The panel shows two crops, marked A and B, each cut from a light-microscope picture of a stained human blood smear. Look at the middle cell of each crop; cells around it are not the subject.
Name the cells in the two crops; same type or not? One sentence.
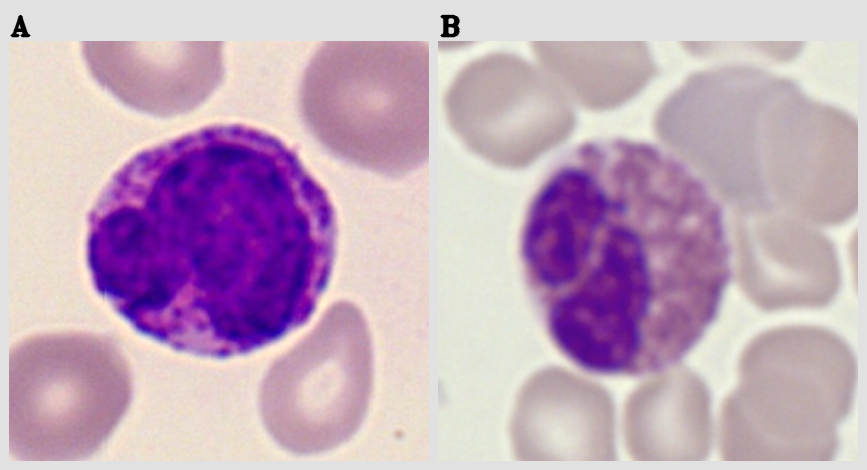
No, crop A has a basophil at its center, and crop B has an eosinophil.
